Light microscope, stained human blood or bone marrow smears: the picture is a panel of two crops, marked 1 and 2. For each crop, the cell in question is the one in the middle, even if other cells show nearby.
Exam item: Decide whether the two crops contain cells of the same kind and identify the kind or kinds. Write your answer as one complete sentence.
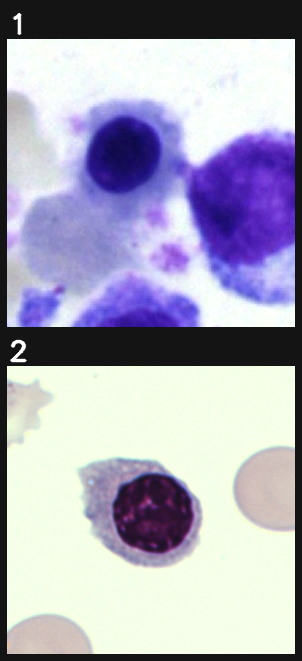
Yes, in both crops, normoblasts are the cells at the middle.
